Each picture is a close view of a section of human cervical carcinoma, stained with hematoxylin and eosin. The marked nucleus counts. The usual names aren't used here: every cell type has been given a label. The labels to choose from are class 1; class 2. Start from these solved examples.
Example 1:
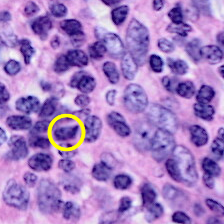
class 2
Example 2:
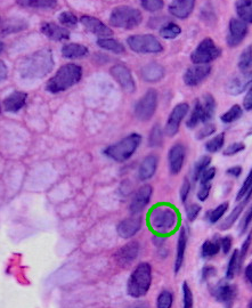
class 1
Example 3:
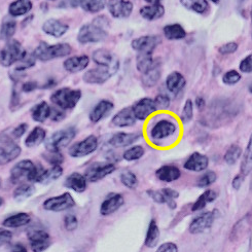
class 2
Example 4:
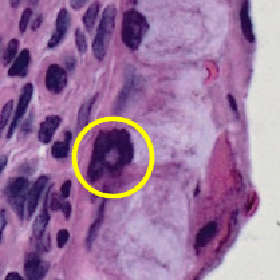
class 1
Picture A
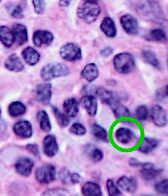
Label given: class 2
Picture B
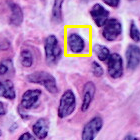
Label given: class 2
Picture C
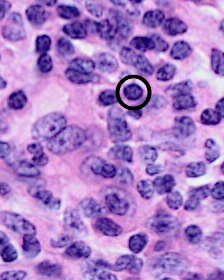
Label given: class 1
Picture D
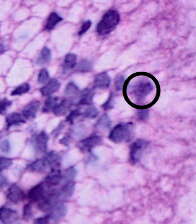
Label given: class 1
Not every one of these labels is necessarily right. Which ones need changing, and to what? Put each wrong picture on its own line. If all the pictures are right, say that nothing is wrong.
C: change class 1 to class 2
